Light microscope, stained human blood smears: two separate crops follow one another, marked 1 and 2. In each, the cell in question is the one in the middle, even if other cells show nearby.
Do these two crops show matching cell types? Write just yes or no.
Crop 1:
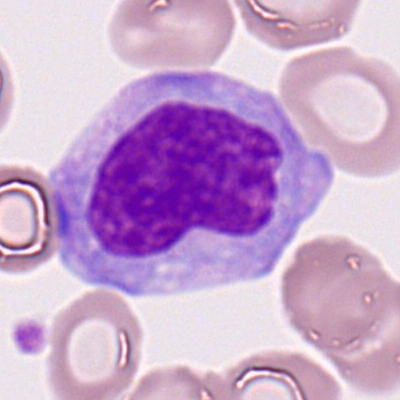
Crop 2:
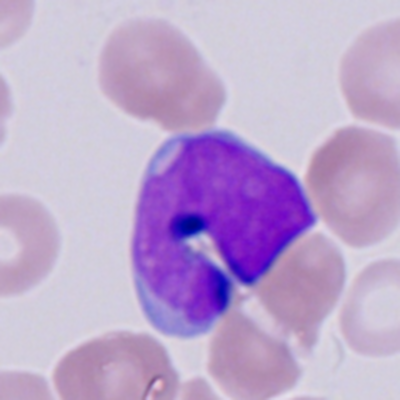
no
